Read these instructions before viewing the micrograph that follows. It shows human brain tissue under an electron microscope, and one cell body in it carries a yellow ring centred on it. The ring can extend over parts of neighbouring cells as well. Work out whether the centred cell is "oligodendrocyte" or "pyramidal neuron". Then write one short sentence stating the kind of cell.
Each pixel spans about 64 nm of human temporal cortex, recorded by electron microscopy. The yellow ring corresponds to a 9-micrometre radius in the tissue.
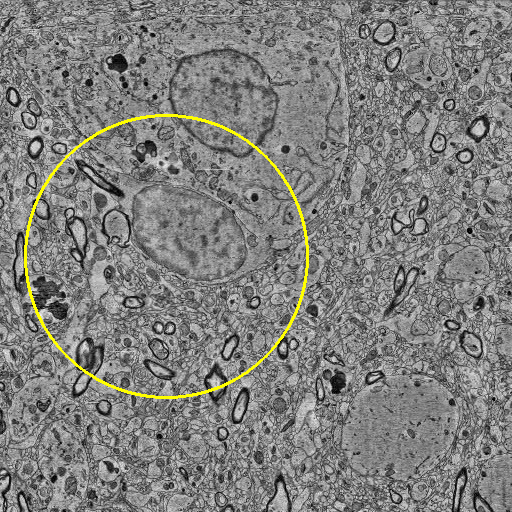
The ringed cell is an oligodendrocyte.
